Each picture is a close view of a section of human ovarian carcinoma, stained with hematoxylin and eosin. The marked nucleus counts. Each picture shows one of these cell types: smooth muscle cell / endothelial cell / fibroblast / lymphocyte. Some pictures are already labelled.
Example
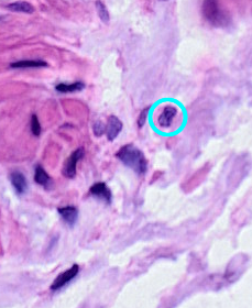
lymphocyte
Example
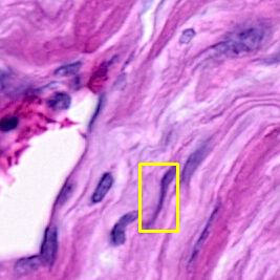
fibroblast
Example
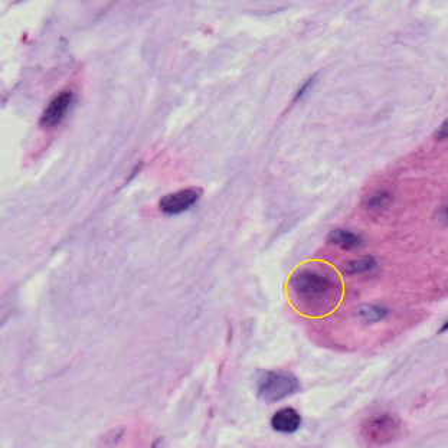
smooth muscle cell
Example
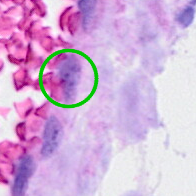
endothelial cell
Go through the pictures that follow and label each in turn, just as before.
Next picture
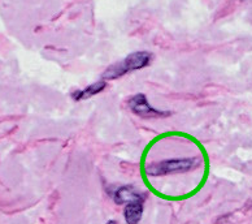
fibroblast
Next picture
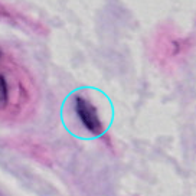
fibroblast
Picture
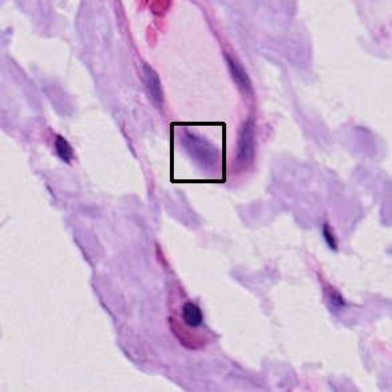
endothelial cell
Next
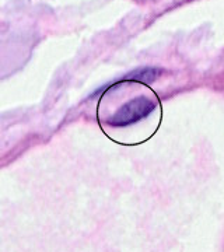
endothelial cell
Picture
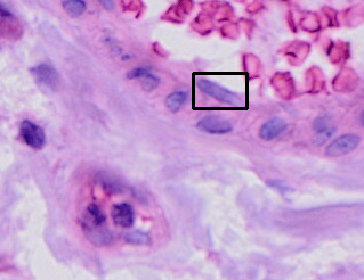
endothelial cell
